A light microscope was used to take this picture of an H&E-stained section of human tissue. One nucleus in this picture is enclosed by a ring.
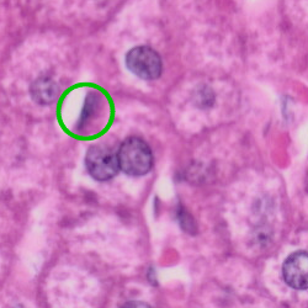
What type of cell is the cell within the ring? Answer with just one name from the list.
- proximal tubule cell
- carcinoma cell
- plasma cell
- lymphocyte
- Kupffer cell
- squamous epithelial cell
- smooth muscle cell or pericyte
Kupffer cell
